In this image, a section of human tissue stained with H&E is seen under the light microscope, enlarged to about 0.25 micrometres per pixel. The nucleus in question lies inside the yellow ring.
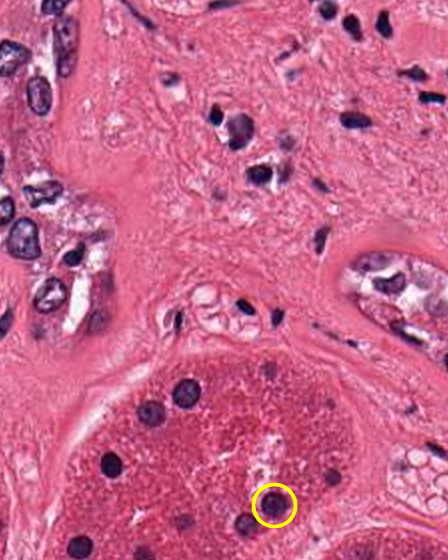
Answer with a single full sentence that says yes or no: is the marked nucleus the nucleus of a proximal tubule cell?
Yes, what is marked here is the nucleus of a proximal tubule cell.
